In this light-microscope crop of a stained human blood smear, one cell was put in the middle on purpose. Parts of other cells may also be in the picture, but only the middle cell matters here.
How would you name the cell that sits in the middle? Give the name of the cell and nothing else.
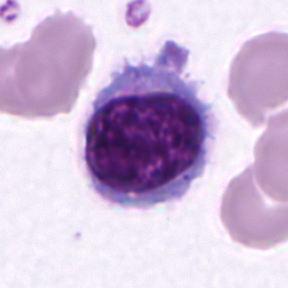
plasma cell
